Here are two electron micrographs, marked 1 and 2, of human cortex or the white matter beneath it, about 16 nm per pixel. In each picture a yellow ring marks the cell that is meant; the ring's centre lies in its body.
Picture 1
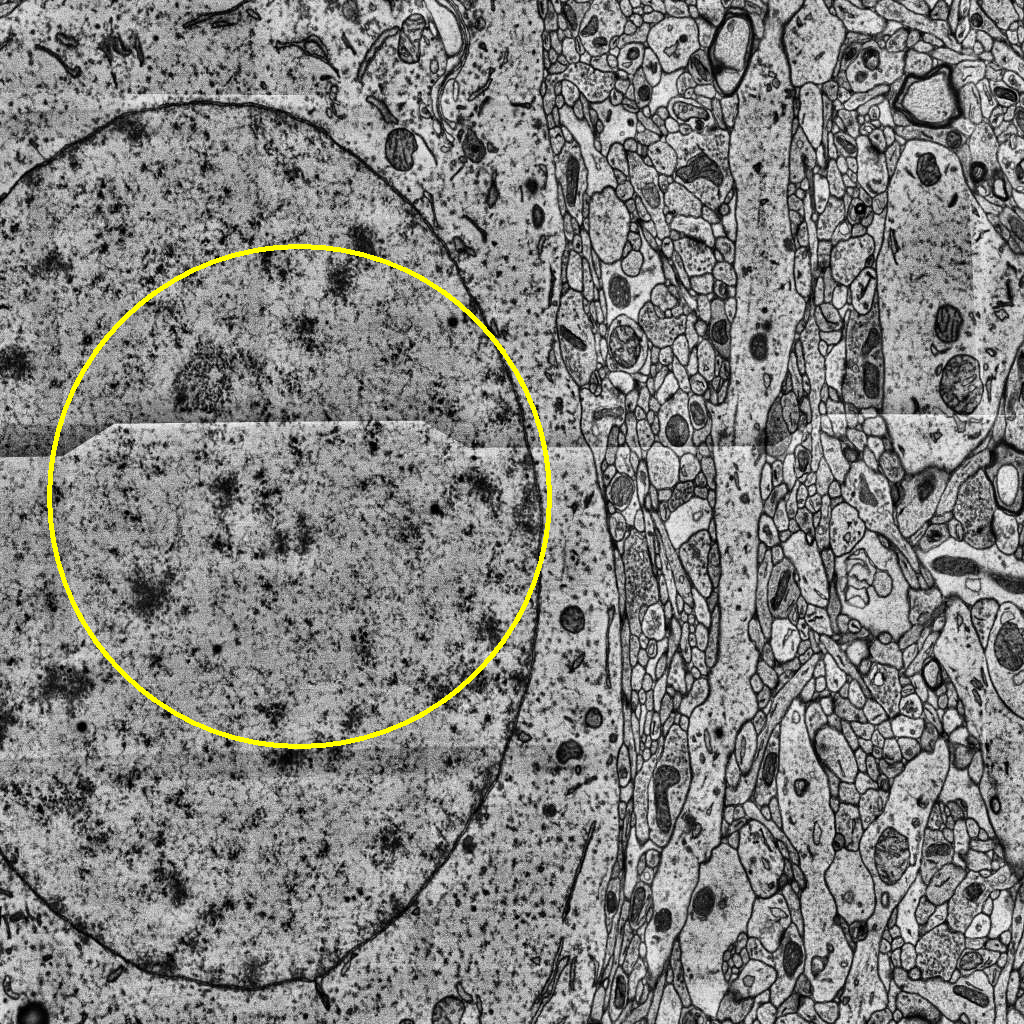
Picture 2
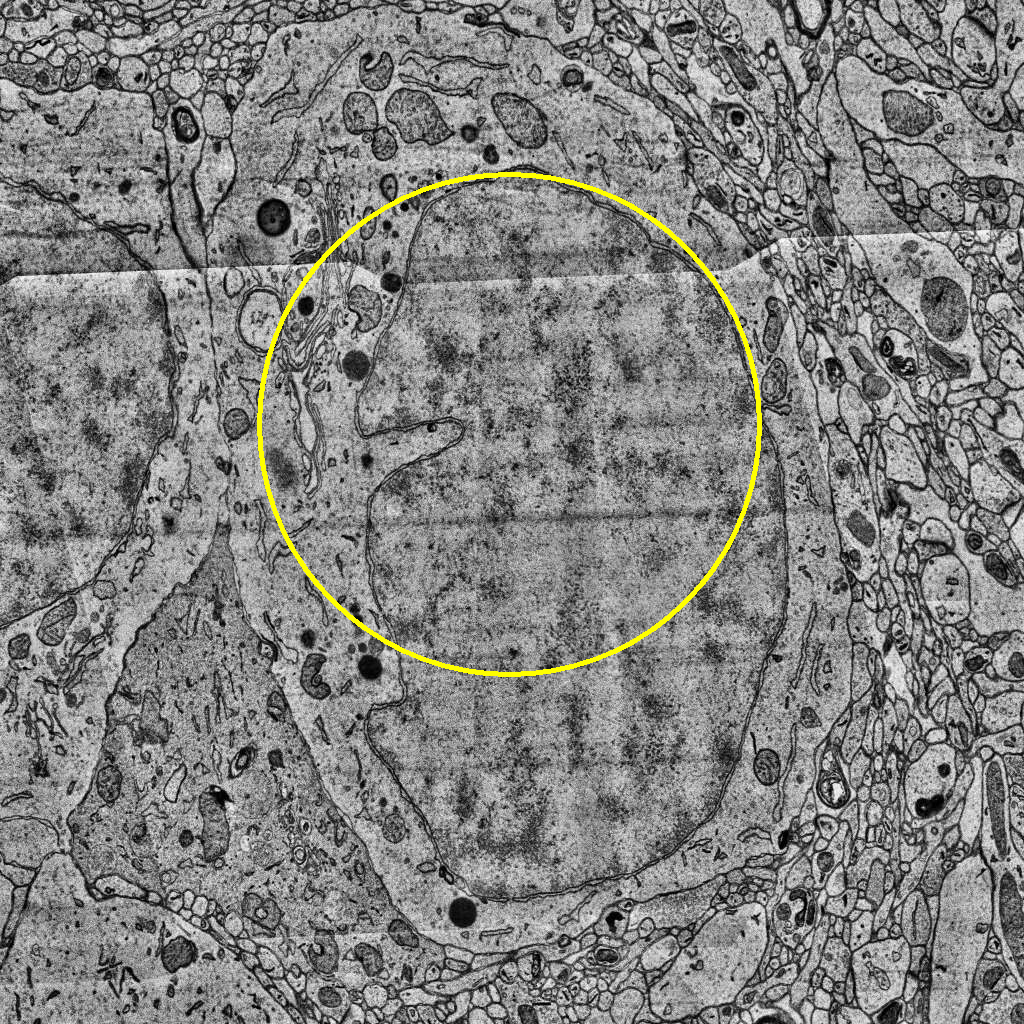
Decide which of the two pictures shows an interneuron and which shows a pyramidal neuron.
It is picture 1 that shows a pyramidal neuron, and picture 2 that shows an interneuron.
